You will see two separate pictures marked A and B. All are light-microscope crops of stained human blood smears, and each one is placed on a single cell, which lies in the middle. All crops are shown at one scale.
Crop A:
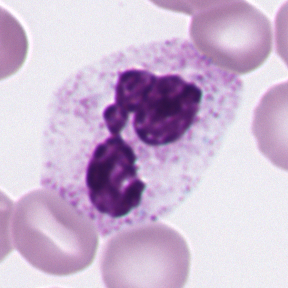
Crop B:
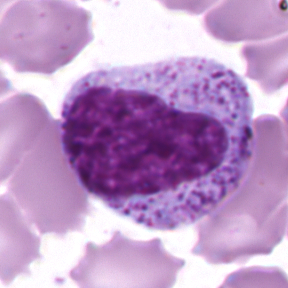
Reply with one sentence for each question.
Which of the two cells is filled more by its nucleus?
The nucleus fills more of the cell in crop B than in crop A.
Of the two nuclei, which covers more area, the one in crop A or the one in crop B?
It is the nucleus in crop B, about 1.5 times as large in area as the one in crop A.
